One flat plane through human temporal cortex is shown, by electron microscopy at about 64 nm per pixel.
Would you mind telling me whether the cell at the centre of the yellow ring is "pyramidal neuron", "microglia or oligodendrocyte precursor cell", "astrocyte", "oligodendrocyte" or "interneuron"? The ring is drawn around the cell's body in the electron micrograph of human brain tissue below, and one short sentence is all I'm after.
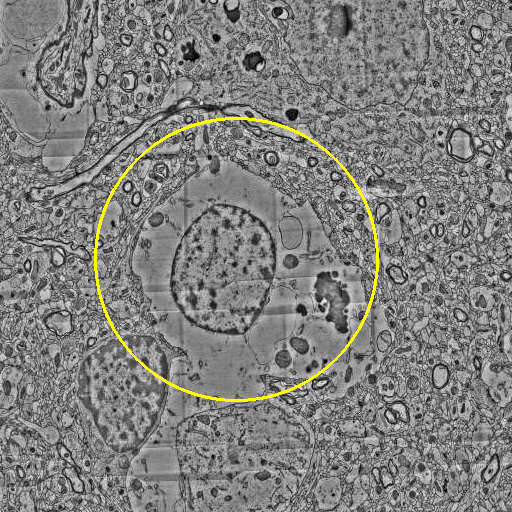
In the centre of the ring lies an astrocyte.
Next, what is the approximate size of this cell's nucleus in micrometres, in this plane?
In this plane, about 8 micrometres in length and 7 in width.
